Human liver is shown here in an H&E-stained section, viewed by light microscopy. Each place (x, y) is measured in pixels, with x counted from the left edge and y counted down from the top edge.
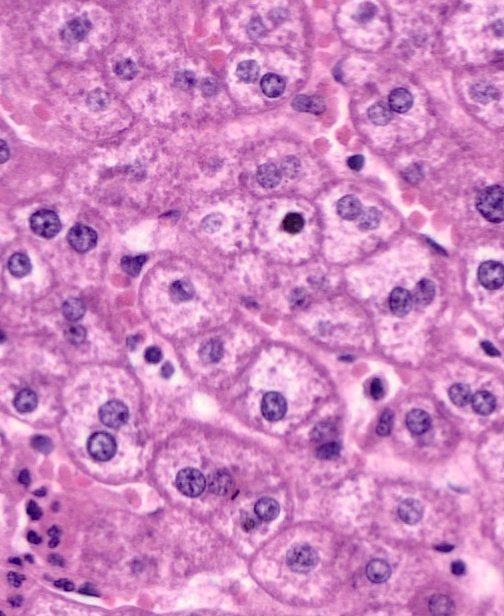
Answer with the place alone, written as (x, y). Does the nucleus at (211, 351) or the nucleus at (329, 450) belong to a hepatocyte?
(211, 351)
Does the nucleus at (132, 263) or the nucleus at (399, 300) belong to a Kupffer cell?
(132, 263)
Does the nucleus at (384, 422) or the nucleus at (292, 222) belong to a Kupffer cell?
(384, 422)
